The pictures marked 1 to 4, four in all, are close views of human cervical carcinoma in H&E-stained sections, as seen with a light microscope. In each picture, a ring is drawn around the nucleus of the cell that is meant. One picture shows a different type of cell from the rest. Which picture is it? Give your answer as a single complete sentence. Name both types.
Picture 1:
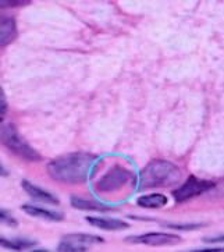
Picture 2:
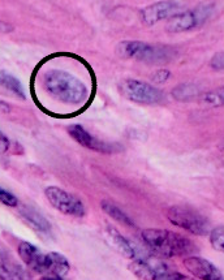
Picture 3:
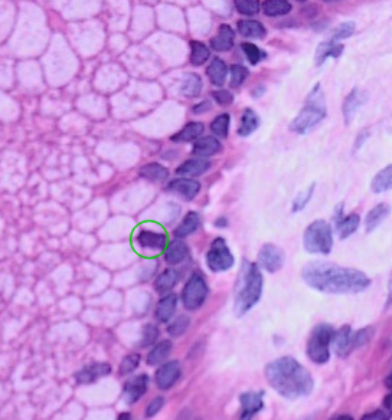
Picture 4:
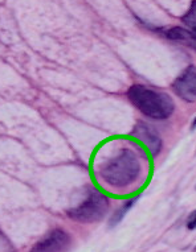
The others show secretory epithelial cells, but picture 2 shows a “macrophage or monocyte”.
